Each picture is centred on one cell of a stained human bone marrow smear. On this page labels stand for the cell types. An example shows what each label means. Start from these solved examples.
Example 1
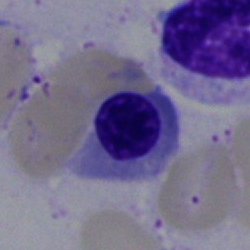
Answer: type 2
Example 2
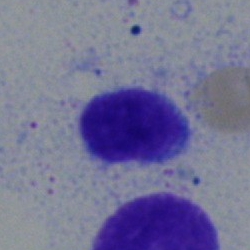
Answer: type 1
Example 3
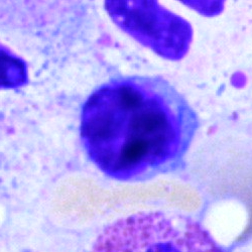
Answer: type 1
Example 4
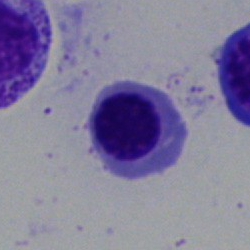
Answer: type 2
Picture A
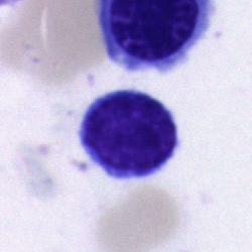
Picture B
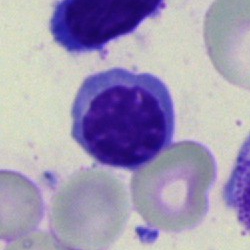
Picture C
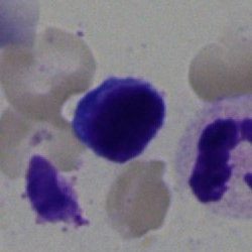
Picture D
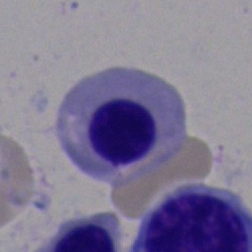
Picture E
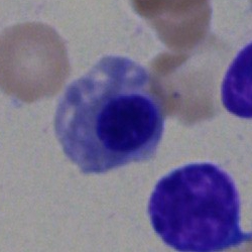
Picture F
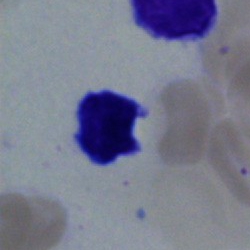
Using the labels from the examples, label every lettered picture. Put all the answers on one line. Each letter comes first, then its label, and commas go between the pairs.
A type 1, B type 2, C type 1, D type 2, E type 2, F type 1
